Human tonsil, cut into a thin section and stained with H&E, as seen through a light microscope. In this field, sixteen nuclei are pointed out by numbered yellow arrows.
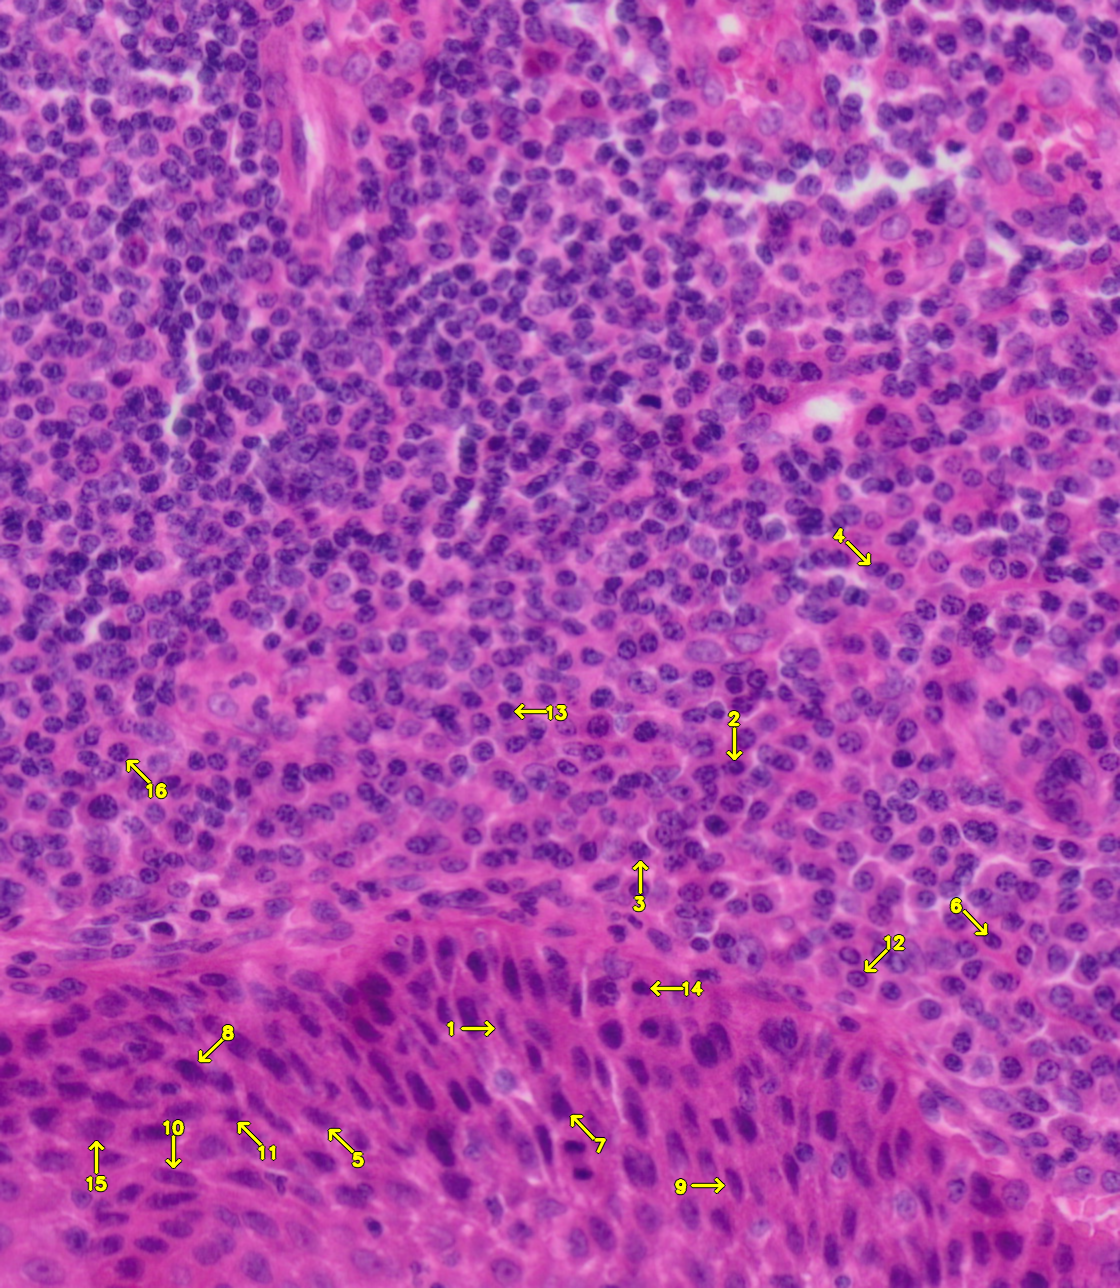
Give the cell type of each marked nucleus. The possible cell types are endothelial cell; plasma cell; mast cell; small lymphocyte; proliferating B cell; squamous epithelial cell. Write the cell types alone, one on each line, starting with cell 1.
squamous epithelial cell
plasma cell
plasma cell
plasma cell
squamous epithelial cell
plasma cell
squamous epithelial cell
squamous epithelial cell
squamous epithelial cell
squamous epithelial cell
squamous epithelial cell
plasma cell
plasma cell
squamous epithelial cell
squamous epithelial cell
plasma cell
